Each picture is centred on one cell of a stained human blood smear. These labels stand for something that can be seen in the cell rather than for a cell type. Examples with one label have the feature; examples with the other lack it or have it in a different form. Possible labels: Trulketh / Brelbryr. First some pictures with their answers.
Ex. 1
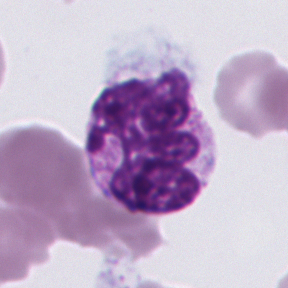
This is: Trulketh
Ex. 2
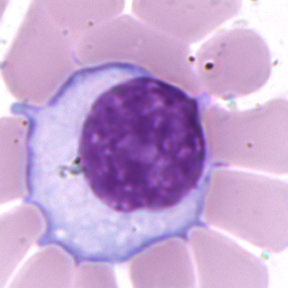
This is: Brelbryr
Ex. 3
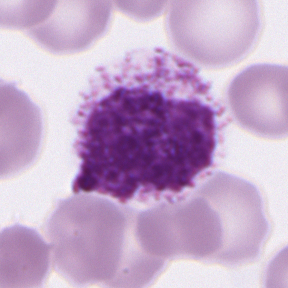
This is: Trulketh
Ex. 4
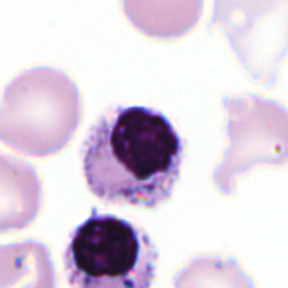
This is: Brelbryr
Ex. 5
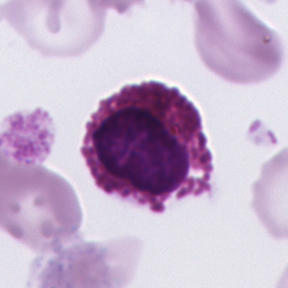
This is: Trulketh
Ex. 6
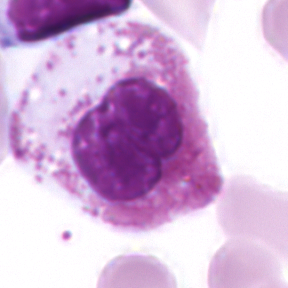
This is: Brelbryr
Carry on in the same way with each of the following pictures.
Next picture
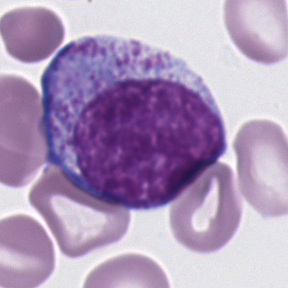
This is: Brelbryr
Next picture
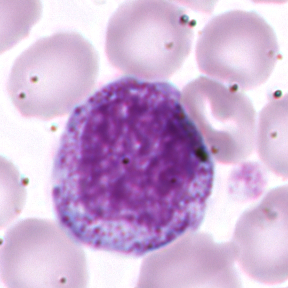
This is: Trulketh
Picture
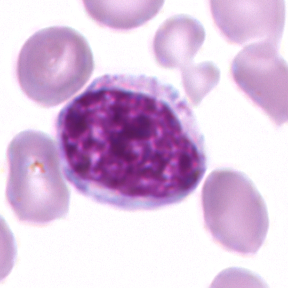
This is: Trulketh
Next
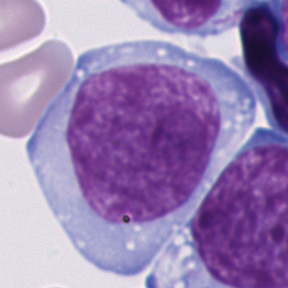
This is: Brelbryr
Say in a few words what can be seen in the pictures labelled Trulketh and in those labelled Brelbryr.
Trulketh, scant cytoplasm; Brelbryr, abundant cytoplasm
